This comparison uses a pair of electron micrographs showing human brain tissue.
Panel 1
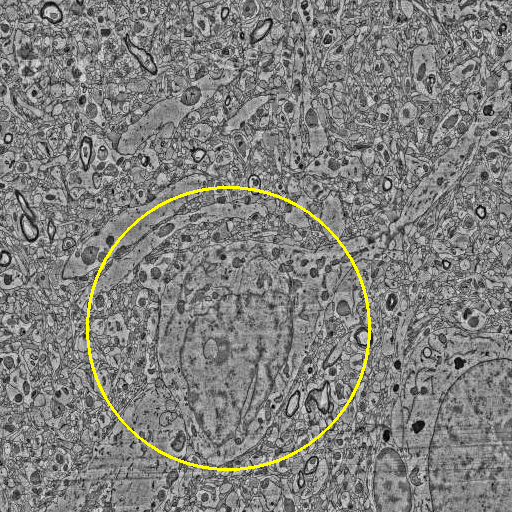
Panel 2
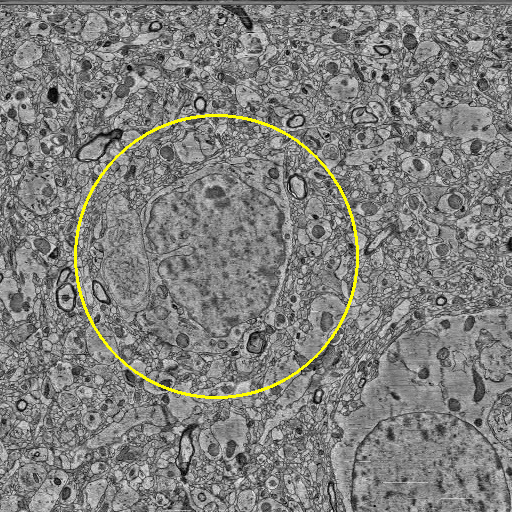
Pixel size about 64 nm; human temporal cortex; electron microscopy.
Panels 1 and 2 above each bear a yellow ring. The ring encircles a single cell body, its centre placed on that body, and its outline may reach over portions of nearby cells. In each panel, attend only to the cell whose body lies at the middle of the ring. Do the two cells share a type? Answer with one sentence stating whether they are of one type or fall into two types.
In Panel 1 and Panel 2, the cells at the centres of the rings are of one type.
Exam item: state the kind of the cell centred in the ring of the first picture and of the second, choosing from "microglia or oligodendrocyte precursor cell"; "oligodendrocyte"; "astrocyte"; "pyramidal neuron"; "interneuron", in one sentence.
Both cells are the same kind, each one being an interneuron.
